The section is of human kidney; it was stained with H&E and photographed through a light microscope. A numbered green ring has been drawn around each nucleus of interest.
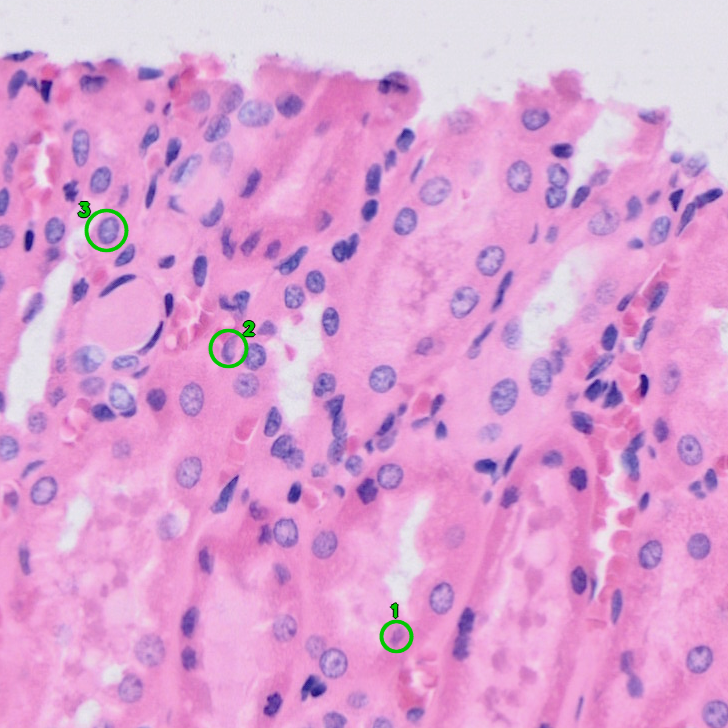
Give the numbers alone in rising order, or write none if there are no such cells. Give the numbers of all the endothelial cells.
2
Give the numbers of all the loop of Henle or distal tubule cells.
3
